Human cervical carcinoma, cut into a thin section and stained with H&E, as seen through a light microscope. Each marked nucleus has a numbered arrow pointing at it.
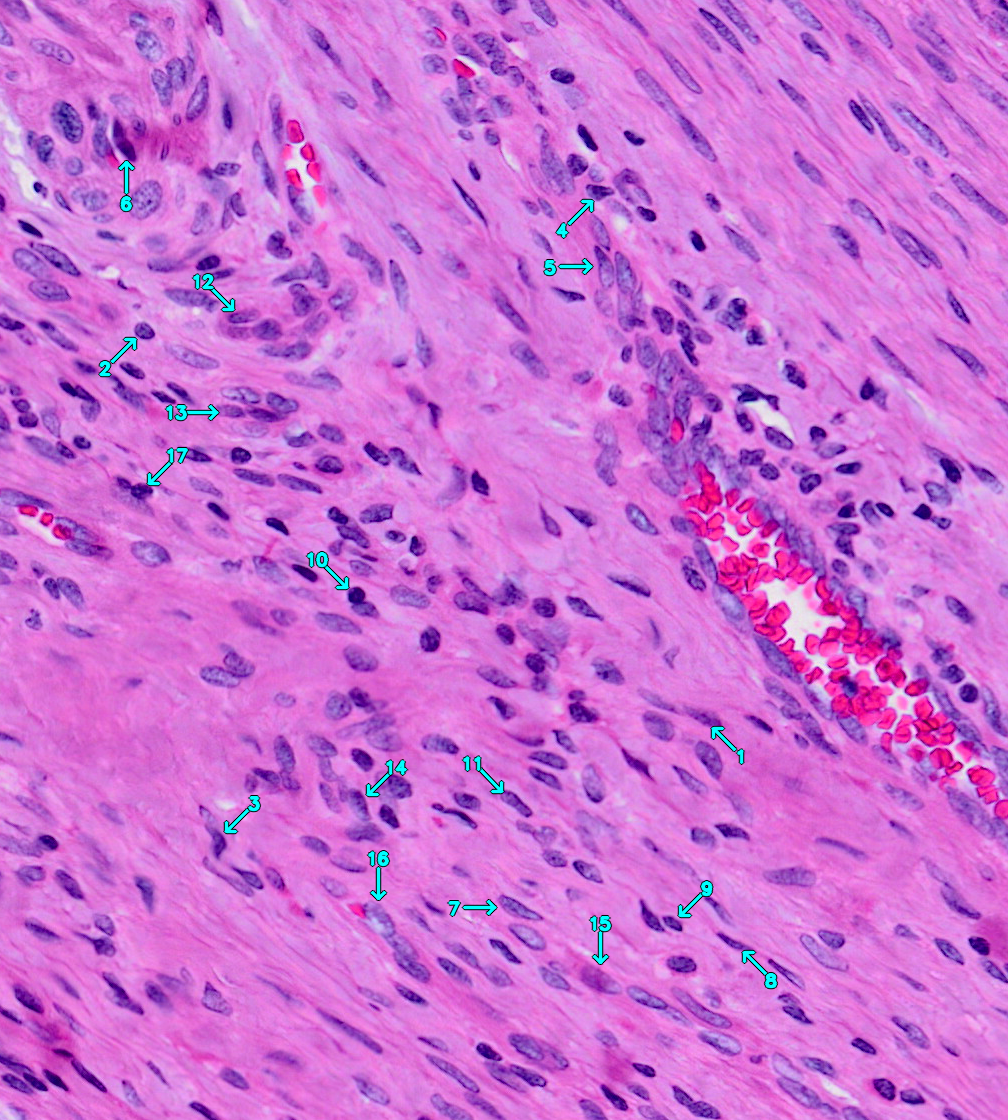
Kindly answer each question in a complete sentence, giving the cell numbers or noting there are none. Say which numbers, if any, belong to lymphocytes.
On this slide, the cells numbered 2, 4, 10 and 17 are lymphocytes.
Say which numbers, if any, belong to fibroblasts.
Cells that were given the numbers 1, 3, 8, 9, 11 and 14 are fibroblasts.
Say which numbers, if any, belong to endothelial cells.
In terms of cell type, cells 5, 6, 12, 13, 15 and 16 are endothelial cells.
